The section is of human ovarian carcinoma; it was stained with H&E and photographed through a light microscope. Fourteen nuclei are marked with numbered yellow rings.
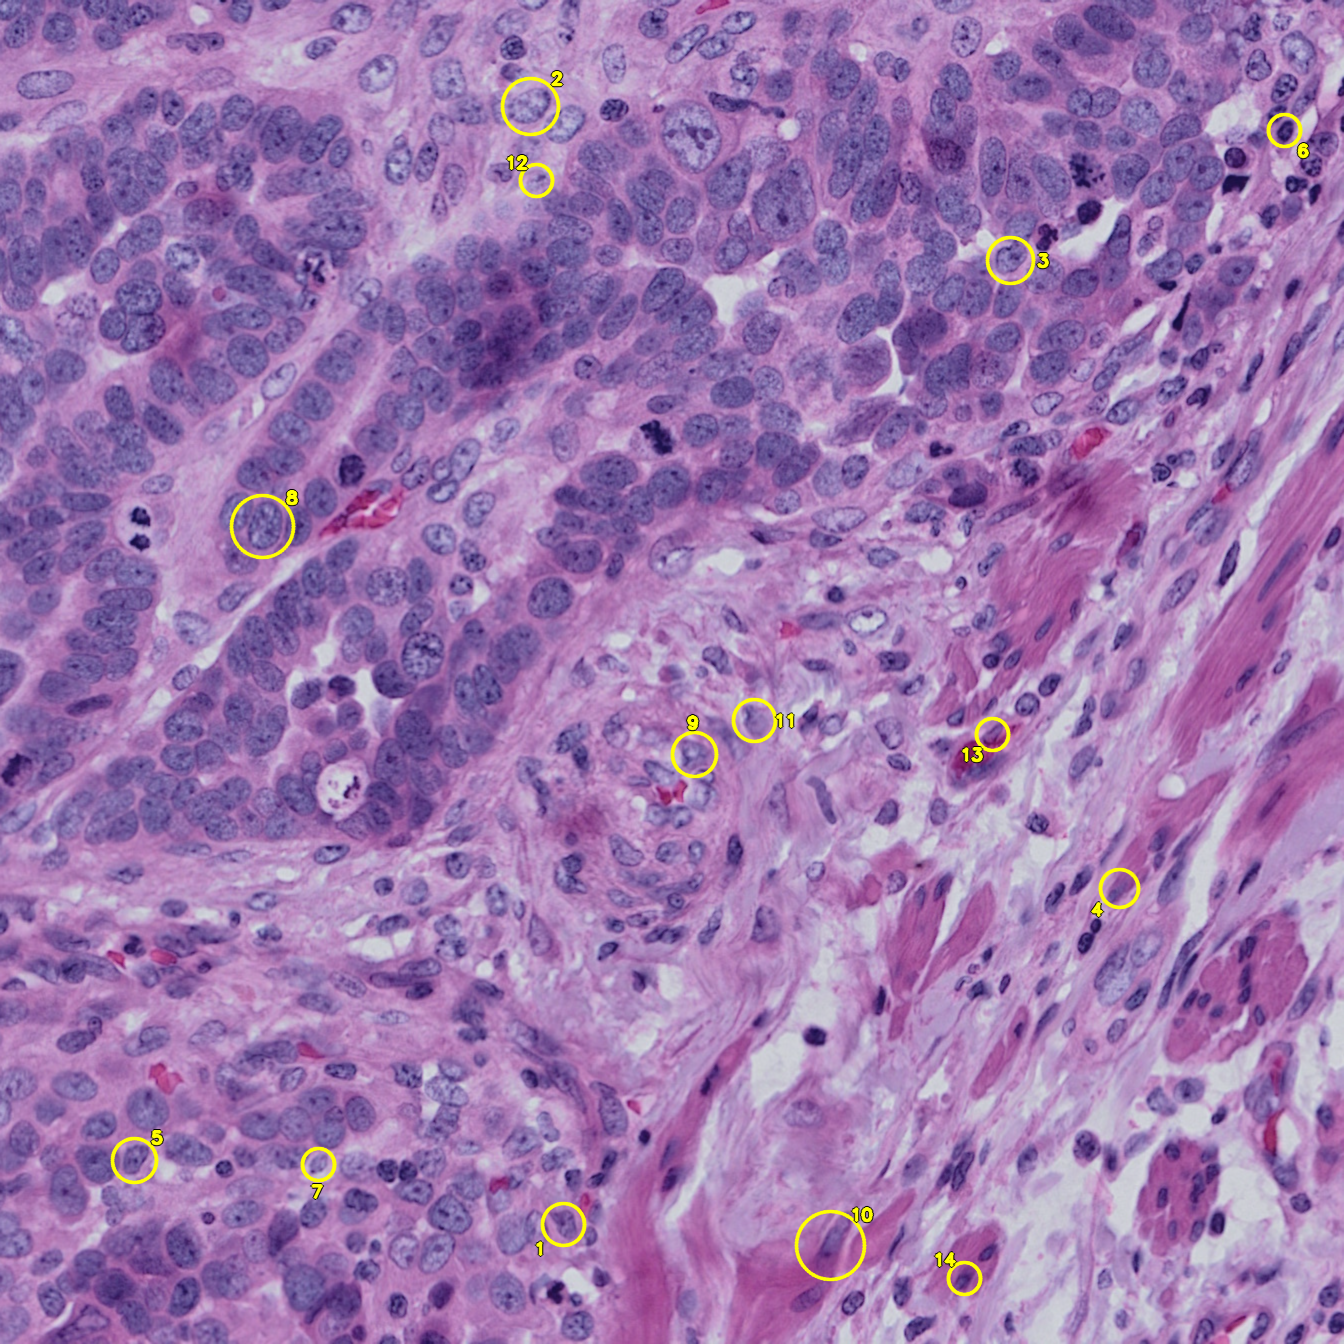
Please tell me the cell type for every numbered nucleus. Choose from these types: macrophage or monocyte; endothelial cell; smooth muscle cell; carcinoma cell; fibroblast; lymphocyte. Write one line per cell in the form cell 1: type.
cell 1: endothelial cell
cell 2: fibroblast
cell 3: macrophage or monocyte
cell 4: smooth muscle cell
cell 5: macrophage or monocyte
cell 6: lymphocyte
cell 7: macrophage or monocyte
cell 8: carcinoma cell
cell 9: endothelial cell
cell 10: smooth muscle cell
cell 11: fibroblast
cell 12: macrophage or monocyte
cell 13: endothelial cell
cell 14: smooth muscle cell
